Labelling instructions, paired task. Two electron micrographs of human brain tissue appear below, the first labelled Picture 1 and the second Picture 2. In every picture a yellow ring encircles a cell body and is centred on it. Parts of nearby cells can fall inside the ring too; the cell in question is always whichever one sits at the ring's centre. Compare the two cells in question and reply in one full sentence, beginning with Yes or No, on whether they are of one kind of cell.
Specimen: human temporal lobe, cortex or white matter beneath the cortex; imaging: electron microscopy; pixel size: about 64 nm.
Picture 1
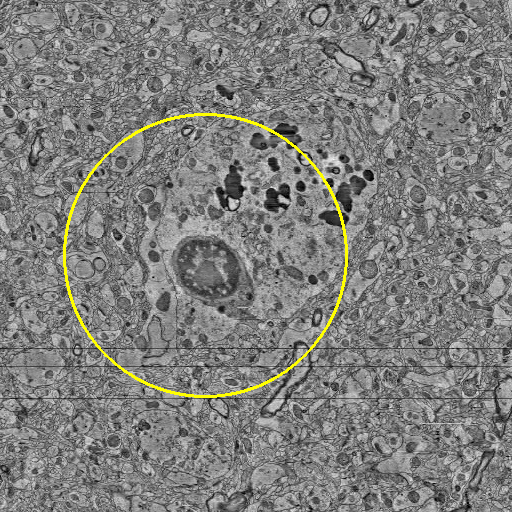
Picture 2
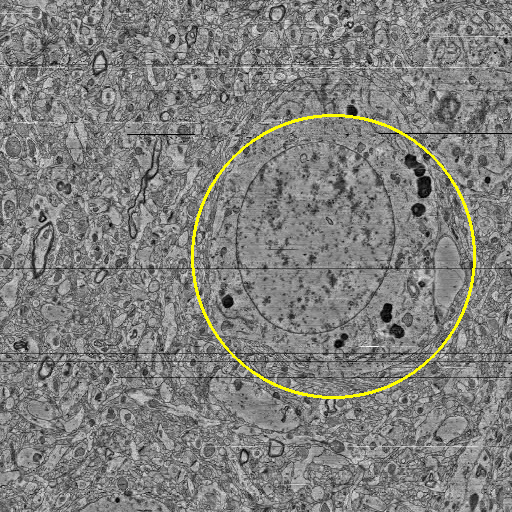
No, the two cells at the ring centres in Picture 1 and Picture 2 are of two kinds.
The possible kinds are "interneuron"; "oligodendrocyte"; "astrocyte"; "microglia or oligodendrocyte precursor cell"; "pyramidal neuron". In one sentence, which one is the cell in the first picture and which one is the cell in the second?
The cell ringed in the second picture is a pyramidal neuron, whereas the one ringed in the first is an oligodendrocyte.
